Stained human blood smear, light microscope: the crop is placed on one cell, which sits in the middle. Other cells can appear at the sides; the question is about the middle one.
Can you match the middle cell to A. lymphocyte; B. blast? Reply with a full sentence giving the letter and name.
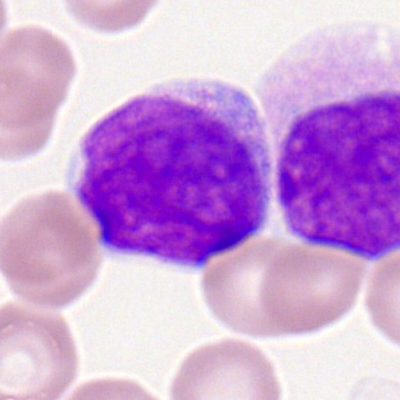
That the central cell is a blast makes option B correct.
